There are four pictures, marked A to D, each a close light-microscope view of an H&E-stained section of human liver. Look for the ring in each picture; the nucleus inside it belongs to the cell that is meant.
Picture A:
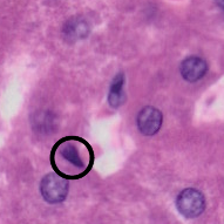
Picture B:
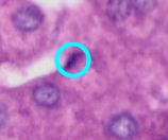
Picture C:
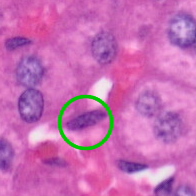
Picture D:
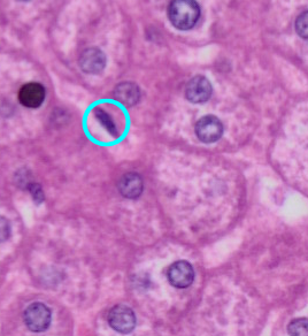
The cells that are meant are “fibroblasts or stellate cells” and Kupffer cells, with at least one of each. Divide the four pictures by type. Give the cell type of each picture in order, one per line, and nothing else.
fibroblast or stellate cell
fibroblast or stellate cell
Kupffer cell
Kupffer cell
